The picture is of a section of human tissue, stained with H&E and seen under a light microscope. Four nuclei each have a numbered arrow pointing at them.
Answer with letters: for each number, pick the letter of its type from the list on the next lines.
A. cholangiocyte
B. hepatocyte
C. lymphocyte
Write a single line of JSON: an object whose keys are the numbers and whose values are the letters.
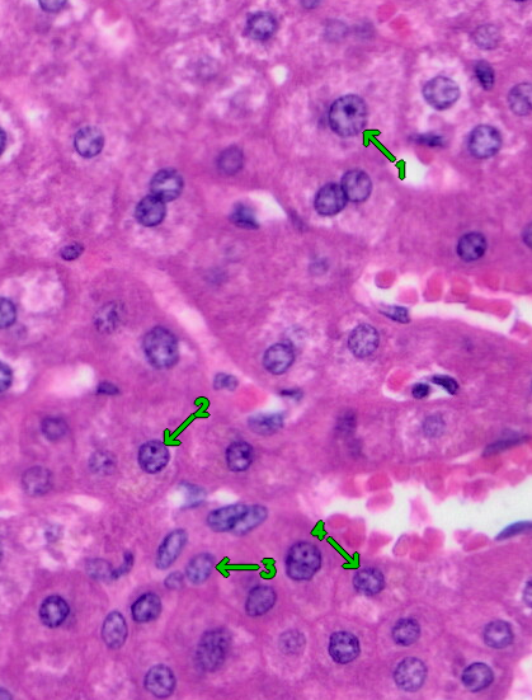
{"1": "B", "2": "B", "3": "A", "4": "B"}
